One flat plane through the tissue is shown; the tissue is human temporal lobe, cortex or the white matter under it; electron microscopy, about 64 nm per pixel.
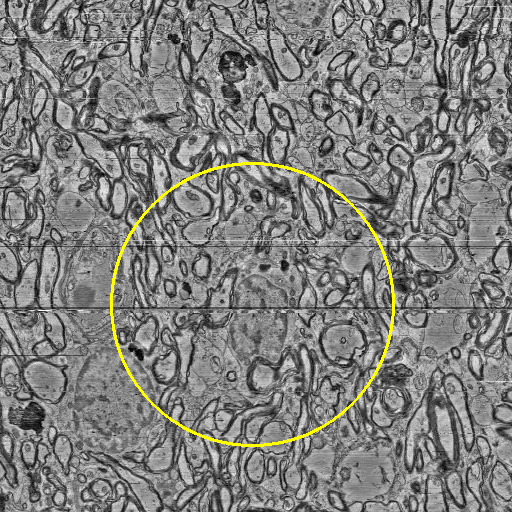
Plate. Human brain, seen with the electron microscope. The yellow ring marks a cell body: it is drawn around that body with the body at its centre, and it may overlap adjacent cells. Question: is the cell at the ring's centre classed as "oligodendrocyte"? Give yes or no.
yes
